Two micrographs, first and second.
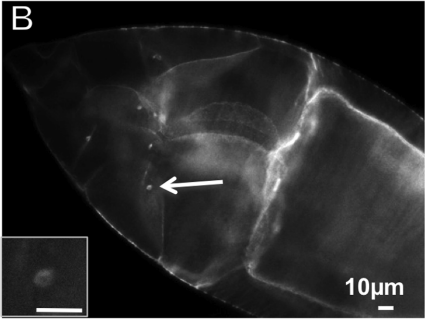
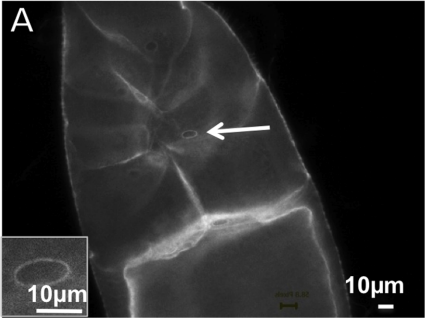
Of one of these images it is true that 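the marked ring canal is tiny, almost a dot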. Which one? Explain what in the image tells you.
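First image: the arrowed structure and its inset are a small bright spot with barely any lumen. Second image: the arrowed structure and its inset are a clearly open oval ring.
Conclusion: the first image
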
